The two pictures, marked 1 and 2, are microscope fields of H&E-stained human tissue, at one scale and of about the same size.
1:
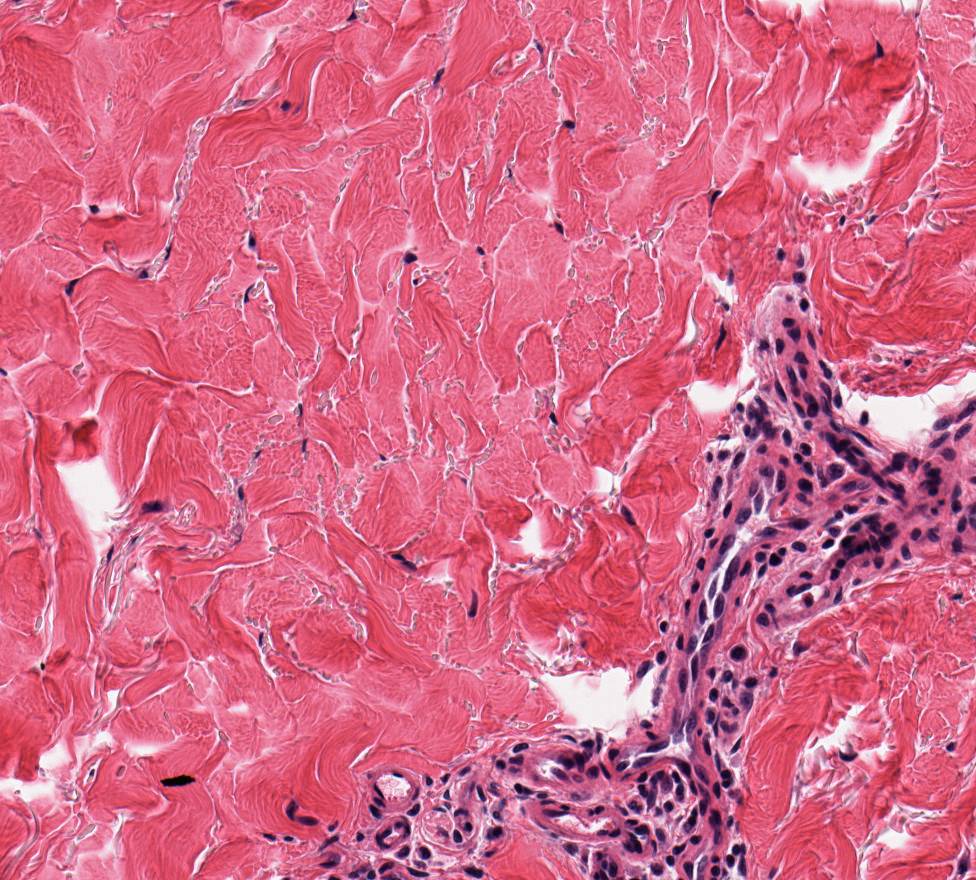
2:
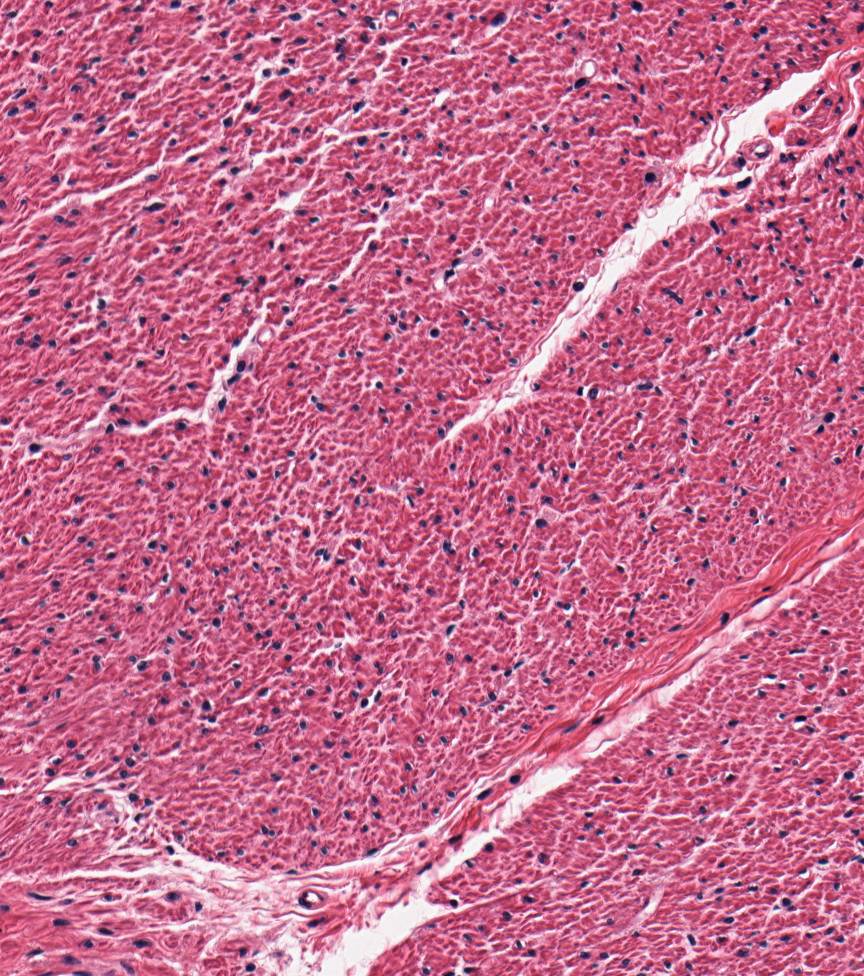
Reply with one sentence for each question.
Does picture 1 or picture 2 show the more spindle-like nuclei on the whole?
Longer, more slender nuclei lie in picture 1.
